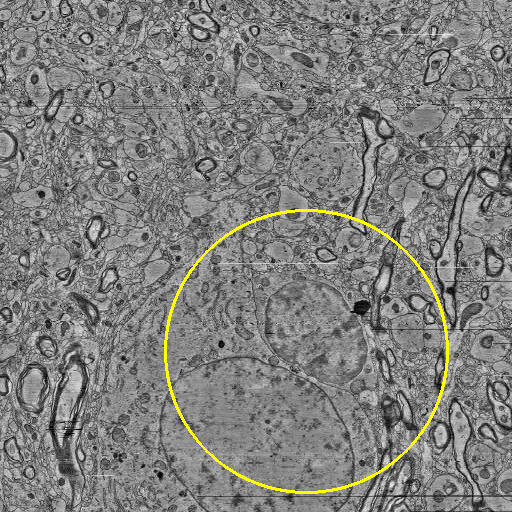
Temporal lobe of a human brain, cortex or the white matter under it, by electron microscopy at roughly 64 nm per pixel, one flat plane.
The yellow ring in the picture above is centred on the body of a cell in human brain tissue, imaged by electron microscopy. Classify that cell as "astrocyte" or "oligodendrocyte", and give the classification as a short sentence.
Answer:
The cell in the middle of the ring is an oligodendrocyte.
